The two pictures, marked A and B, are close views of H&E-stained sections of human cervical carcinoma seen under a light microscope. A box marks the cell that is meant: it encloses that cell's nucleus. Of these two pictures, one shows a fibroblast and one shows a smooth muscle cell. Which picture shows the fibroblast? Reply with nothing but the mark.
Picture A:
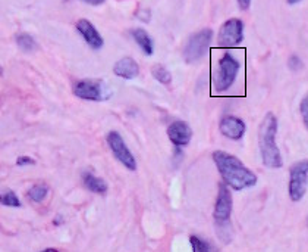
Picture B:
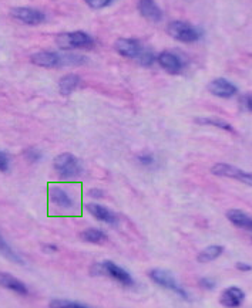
A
